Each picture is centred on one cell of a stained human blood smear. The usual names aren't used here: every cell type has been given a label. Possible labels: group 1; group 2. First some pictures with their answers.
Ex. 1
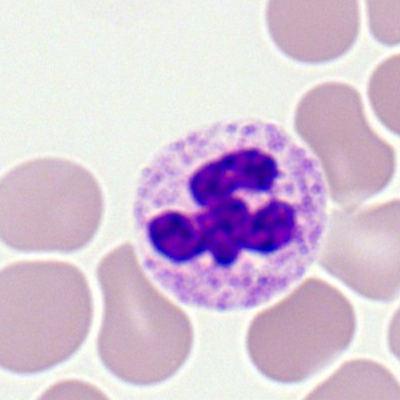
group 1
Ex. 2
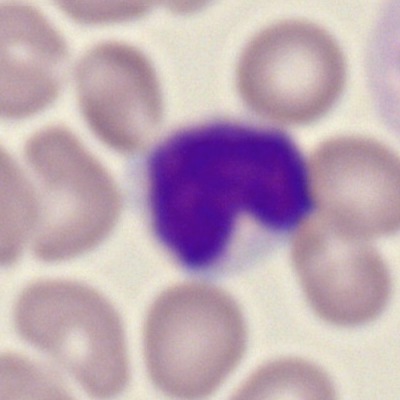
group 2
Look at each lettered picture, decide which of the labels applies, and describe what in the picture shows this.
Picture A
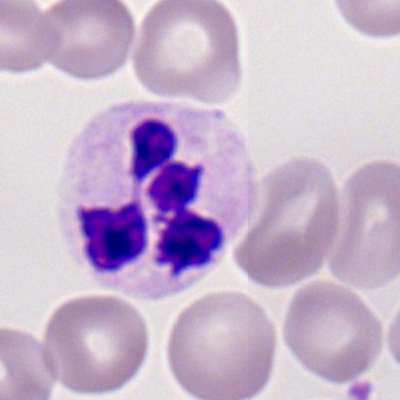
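group 1. Evidence: The nucleus is divided into four separate lobes.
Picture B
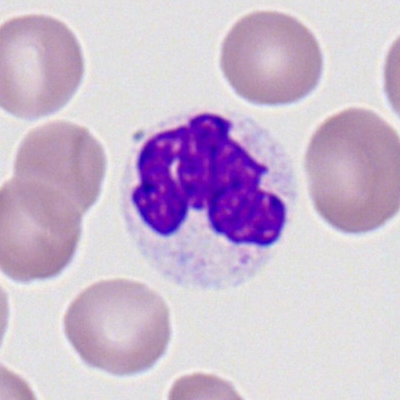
group 1. Evidence: The nucleus is divided into several lobes.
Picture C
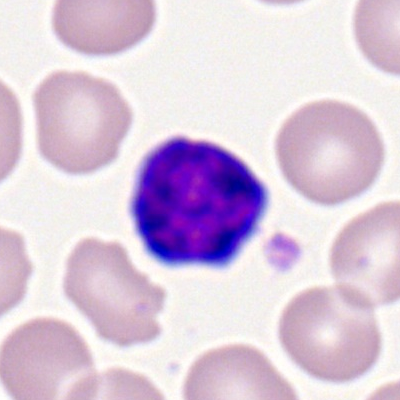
group 2. Evidence: The nucleus fills almost the whole cell, leaving only a very thin rim of cytoplasm.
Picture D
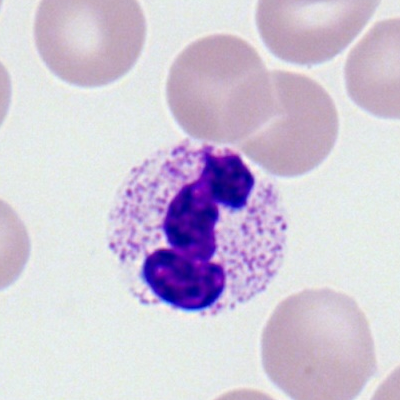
group 1. Evidence: The nucleus is made of lobes joined in an S-shaped chain.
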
